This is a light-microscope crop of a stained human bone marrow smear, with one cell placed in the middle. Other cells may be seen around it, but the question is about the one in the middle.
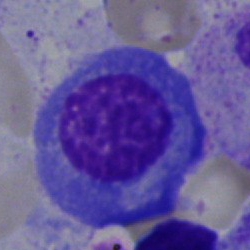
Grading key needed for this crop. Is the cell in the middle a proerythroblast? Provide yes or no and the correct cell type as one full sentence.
No, the middle cell is classified as a plasma cell and not as a proerythroblast.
